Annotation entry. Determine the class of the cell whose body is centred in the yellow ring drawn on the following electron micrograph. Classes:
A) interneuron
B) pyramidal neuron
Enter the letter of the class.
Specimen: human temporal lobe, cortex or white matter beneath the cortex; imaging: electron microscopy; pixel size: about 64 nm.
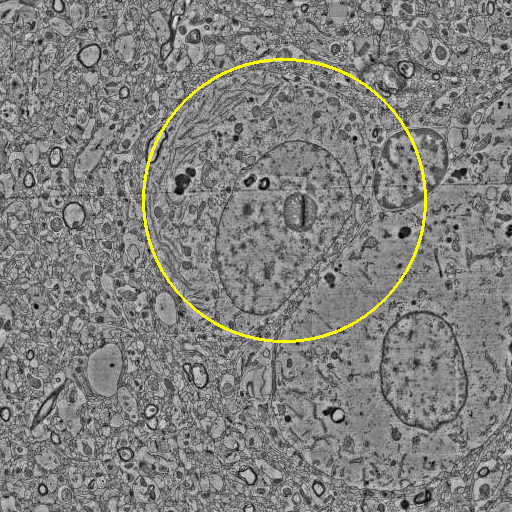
A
